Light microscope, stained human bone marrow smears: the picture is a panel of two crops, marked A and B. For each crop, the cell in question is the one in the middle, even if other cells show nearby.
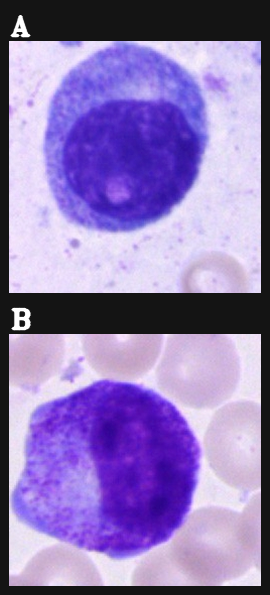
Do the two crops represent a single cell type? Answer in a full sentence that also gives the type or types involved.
Yes, both crops show promyelocytes, to put it briefly.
